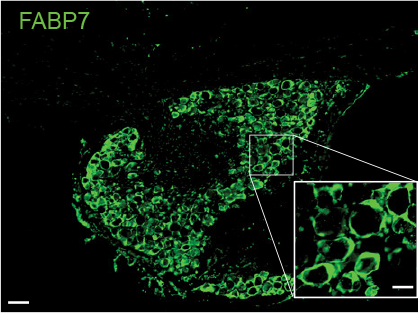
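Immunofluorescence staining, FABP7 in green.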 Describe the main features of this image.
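This ganglion section shows satellite glial cells as thin green rings that wrap around large, round, unstained neuronal cell bodies. The rings are densest where the cell bodies cluster along the edges of the ganglion, while the central fibre-rich area holds less green.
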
